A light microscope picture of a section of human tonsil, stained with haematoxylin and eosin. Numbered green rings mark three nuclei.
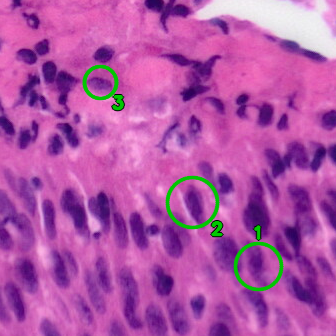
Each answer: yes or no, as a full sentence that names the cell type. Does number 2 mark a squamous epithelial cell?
Yes. The cell carrying number 2 is a squamous epithelial cell.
